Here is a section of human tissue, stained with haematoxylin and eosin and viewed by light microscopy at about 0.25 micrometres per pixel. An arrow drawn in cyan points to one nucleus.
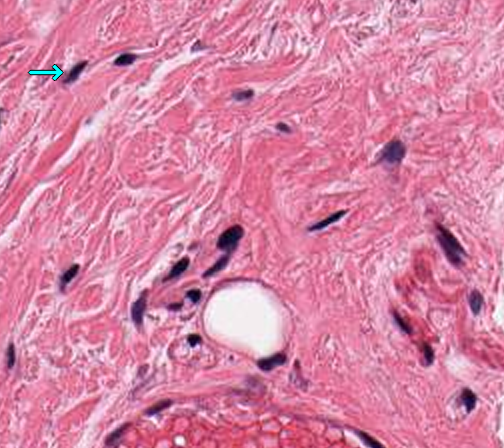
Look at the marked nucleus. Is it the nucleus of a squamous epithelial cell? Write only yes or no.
no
